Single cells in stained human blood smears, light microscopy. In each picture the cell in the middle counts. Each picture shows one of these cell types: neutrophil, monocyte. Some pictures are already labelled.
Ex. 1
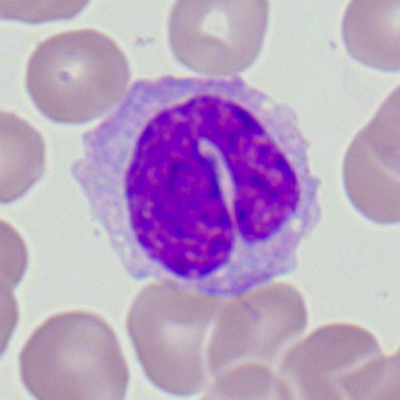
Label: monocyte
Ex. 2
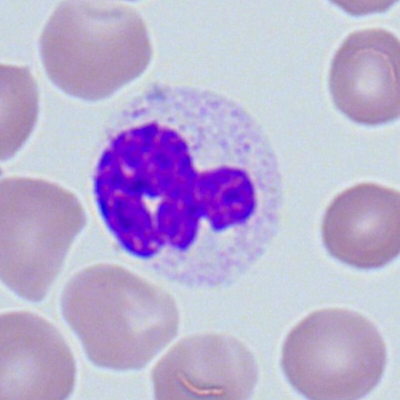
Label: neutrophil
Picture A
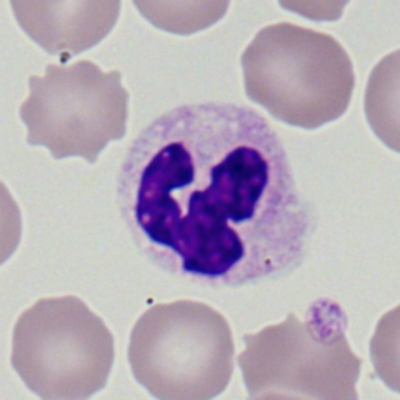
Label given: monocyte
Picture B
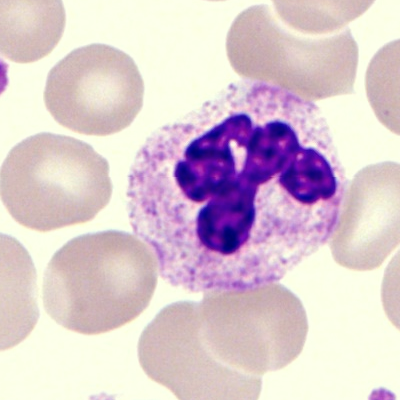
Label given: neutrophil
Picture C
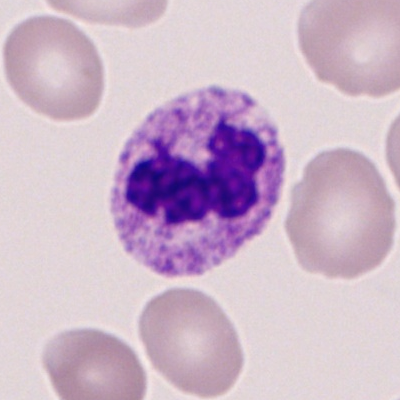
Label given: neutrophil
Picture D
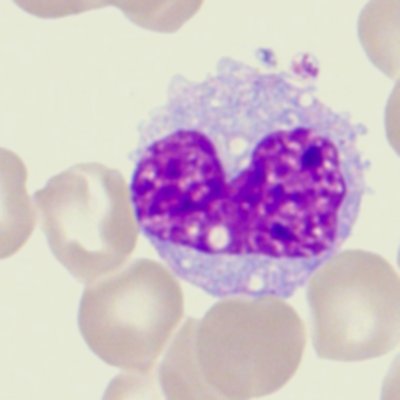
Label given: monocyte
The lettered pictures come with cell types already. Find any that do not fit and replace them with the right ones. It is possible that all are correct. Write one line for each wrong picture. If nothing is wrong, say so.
Wrong: A (monocyte); correct: neutrophil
